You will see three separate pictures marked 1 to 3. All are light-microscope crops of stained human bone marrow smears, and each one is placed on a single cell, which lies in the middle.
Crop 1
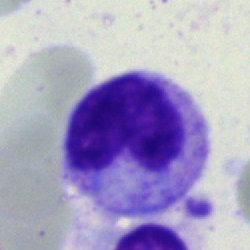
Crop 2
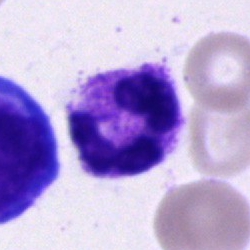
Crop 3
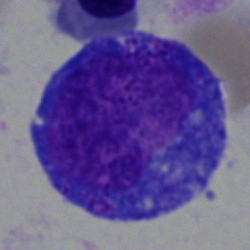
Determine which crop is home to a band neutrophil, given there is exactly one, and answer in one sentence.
Crop 1 is the one in this set that shows a band neutrophil.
